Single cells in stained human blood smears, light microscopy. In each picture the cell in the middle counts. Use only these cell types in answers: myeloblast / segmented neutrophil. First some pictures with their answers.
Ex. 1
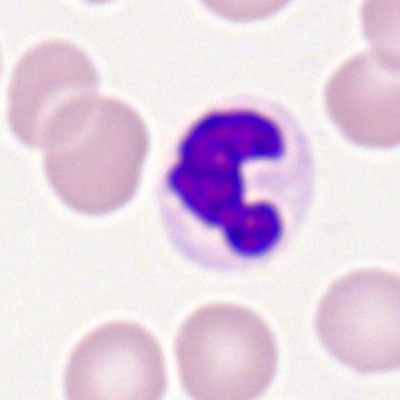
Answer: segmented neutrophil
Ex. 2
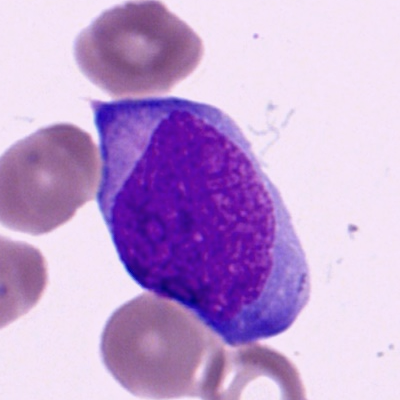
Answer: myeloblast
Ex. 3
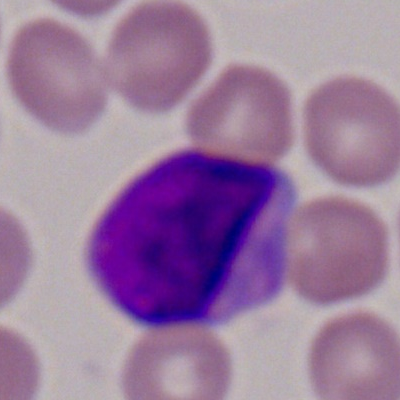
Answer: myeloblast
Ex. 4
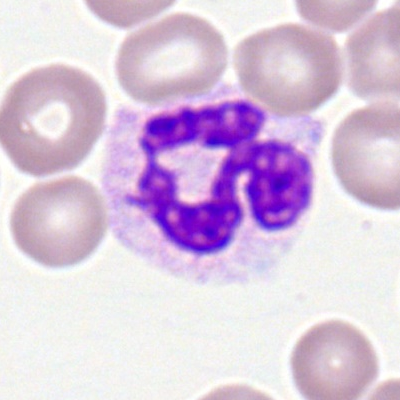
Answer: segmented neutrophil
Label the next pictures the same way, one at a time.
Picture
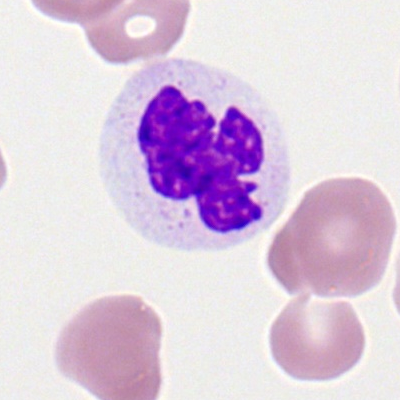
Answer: segmented neutrophil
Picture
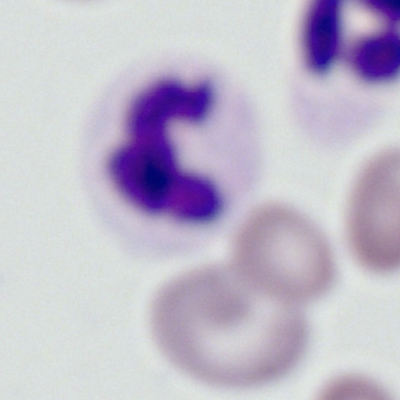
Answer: segmented neutrophil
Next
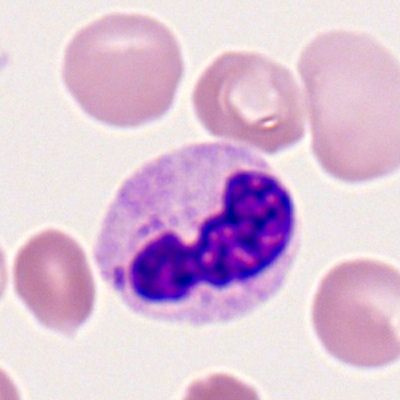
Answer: segmented neutrophil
